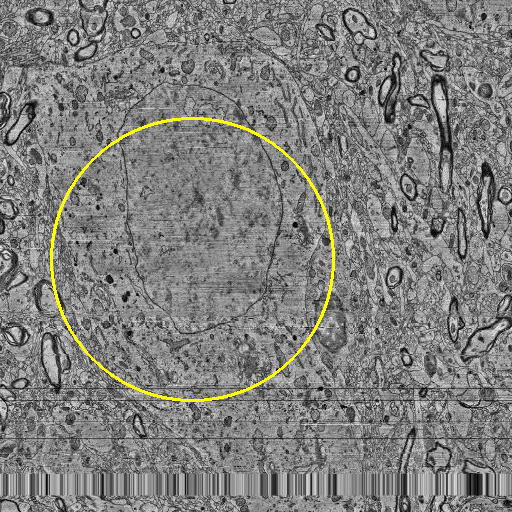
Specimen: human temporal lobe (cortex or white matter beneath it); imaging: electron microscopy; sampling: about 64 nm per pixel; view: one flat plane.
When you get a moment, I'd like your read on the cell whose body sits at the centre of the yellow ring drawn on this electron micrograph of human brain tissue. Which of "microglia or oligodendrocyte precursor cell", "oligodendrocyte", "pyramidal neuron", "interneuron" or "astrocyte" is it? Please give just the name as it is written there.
pyramidal neuron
